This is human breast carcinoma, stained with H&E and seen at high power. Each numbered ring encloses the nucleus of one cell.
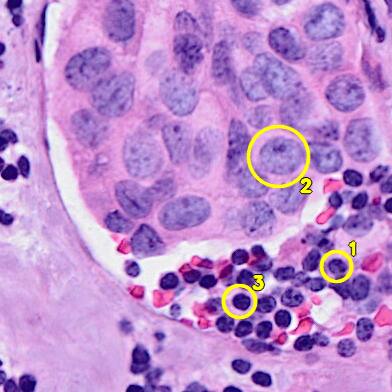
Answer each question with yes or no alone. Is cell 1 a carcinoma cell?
no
